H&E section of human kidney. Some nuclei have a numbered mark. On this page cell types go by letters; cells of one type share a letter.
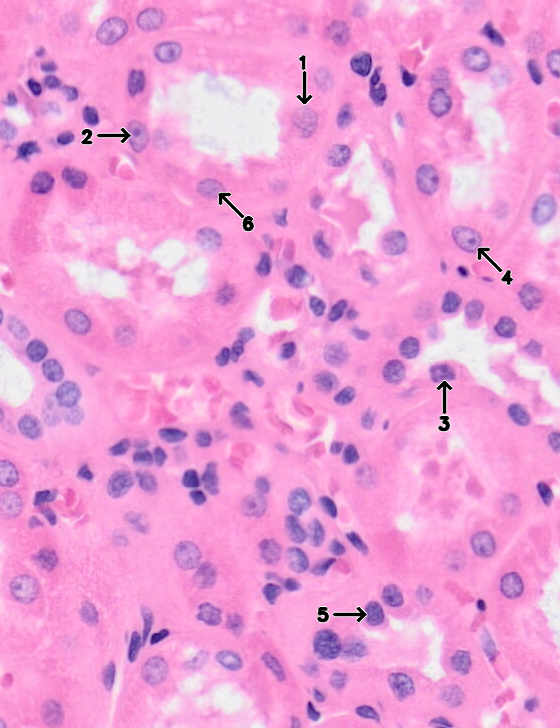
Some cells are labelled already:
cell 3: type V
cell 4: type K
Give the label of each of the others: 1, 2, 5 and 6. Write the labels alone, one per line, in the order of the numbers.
type K
type K
type V
type K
